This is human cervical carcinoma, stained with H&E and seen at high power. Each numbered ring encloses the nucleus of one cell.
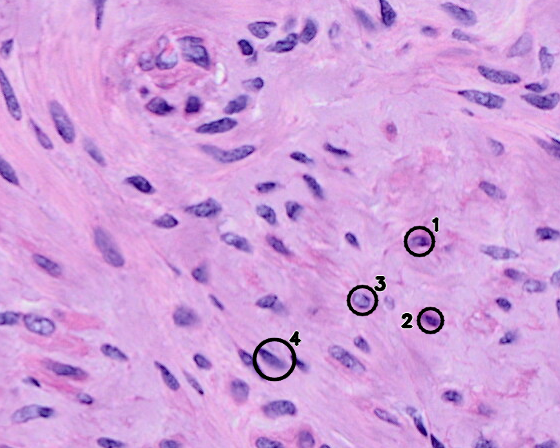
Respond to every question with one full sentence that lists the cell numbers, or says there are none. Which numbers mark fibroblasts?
Only number 4 is a fibroblast; none of the others are.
